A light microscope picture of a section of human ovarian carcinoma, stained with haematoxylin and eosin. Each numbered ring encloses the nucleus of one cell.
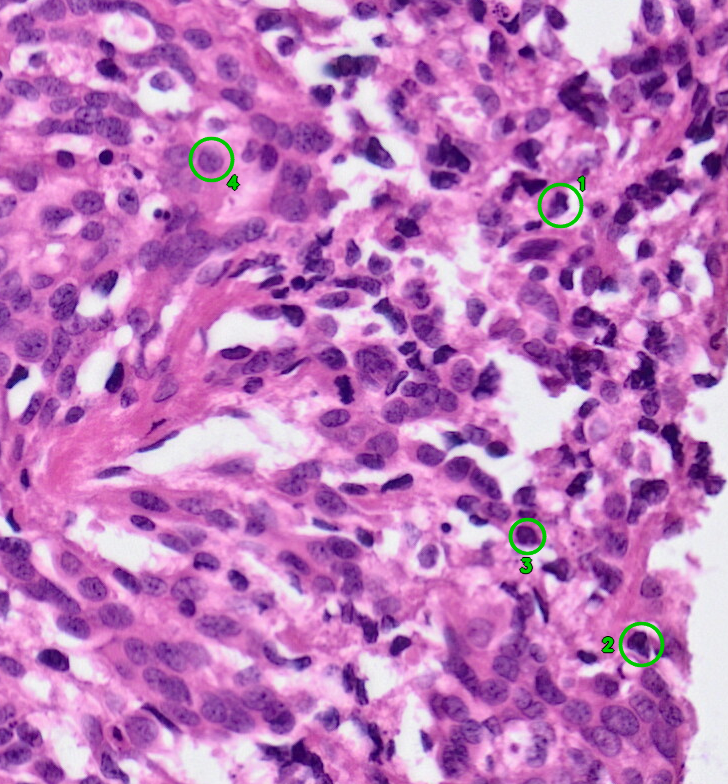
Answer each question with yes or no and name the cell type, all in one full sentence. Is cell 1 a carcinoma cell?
No, cell 1 does not count as a carcinoma cell; it is a macrophage or monocyte.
